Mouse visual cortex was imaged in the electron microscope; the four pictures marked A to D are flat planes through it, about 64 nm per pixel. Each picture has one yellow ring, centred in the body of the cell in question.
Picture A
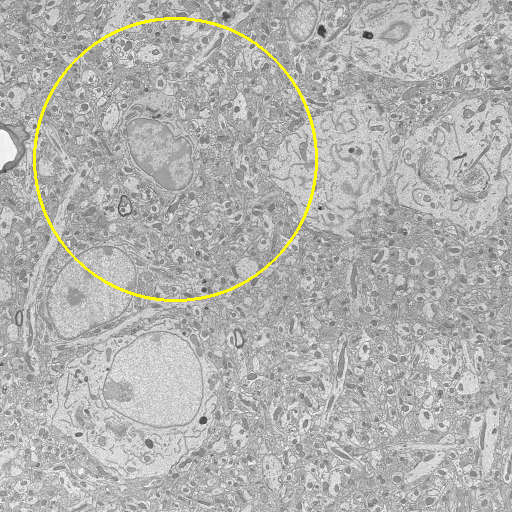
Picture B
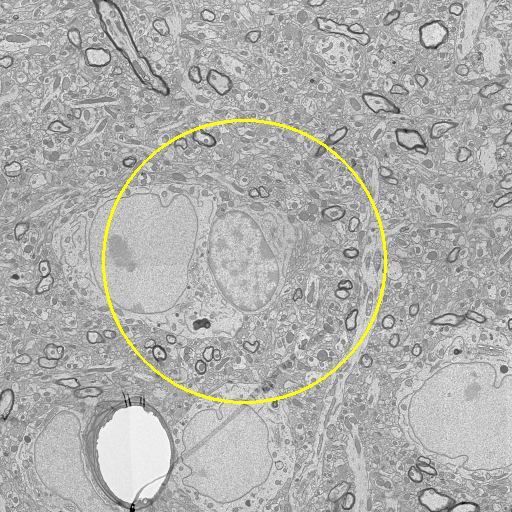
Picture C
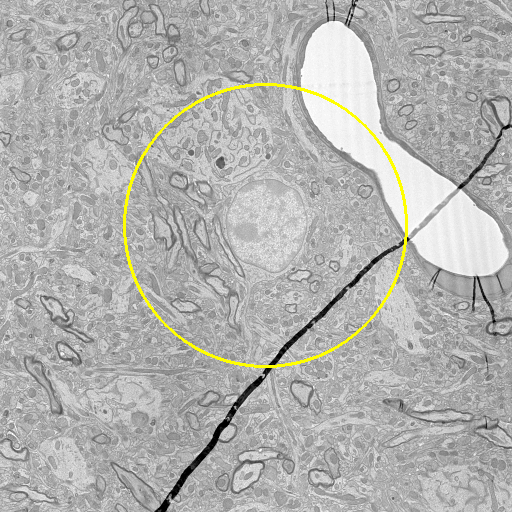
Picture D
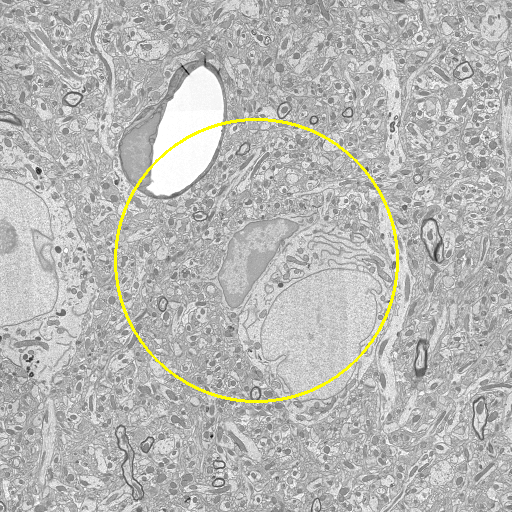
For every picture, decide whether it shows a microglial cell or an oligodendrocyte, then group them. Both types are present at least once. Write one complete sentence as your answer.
Pictures A and D show microglial cells; pictures B and C show oligodendrocytes.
